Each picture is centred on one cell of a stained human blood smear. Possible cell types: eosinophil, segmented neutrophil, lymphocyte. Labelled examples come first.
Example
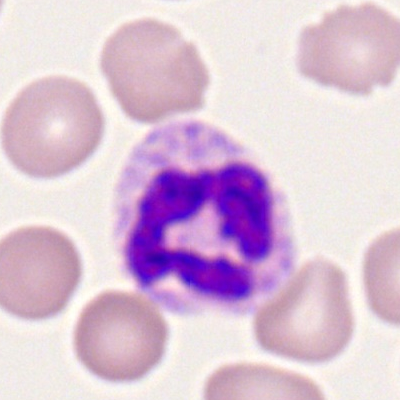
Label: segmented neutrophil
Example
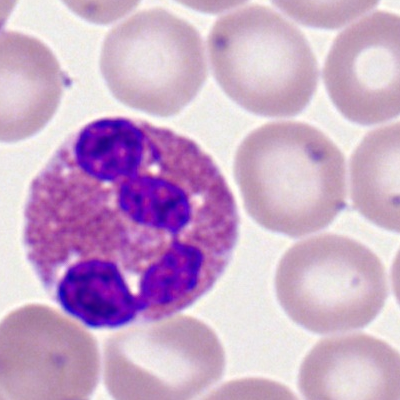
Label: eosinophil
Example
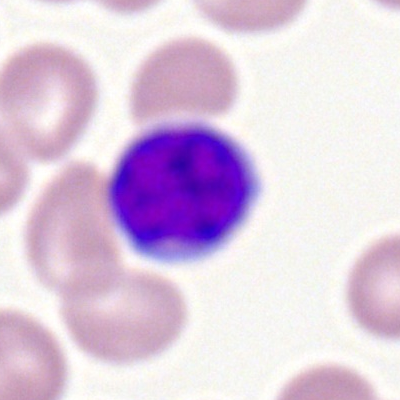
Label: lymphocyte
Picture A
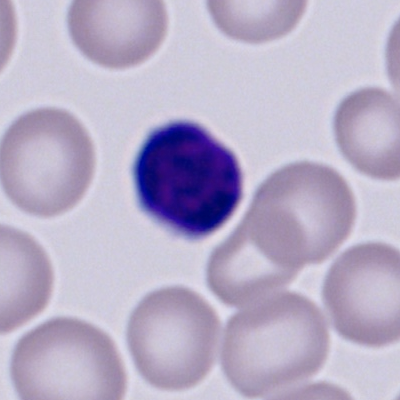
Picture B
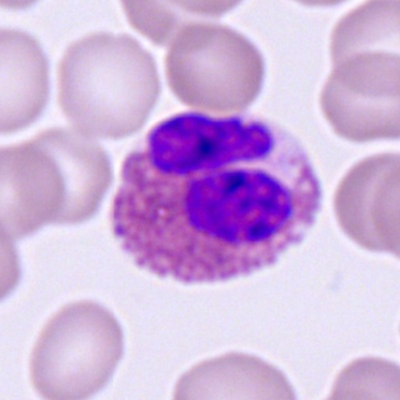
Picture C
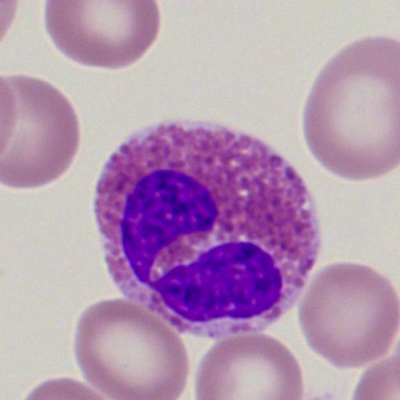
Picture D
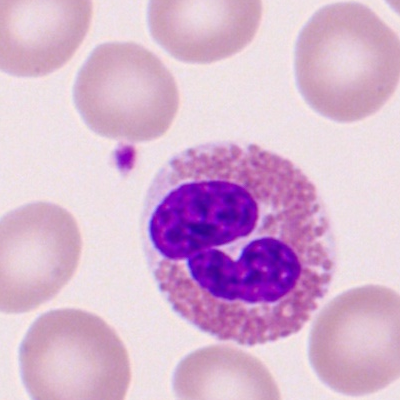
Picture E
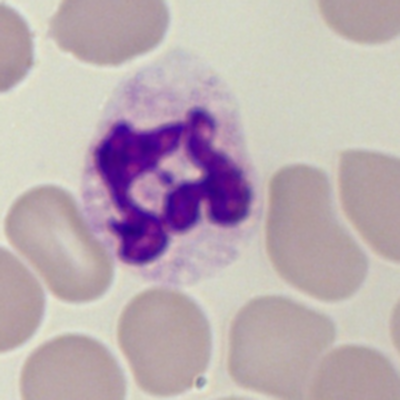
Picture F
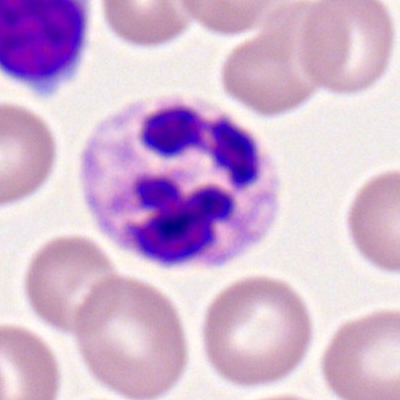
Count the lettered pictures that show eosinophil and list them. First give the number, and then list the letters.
3, namely B, C, D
